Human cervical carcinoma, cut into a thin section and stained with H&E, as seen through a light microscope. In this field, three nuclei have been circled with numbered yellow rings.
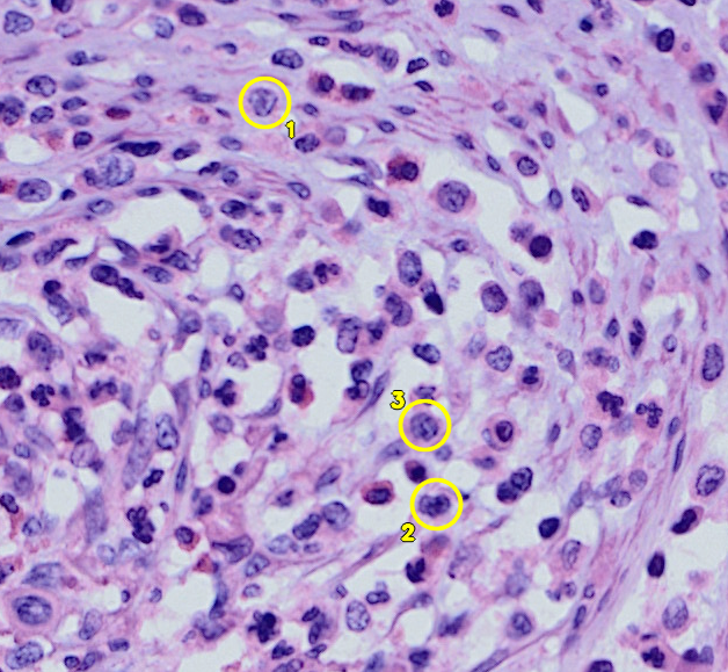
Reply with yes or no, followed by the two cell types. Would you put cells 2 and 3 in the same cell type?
No, in contrast to cell 3, which is a macrophage or monocyte, cell 2 is a lymphocyte.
